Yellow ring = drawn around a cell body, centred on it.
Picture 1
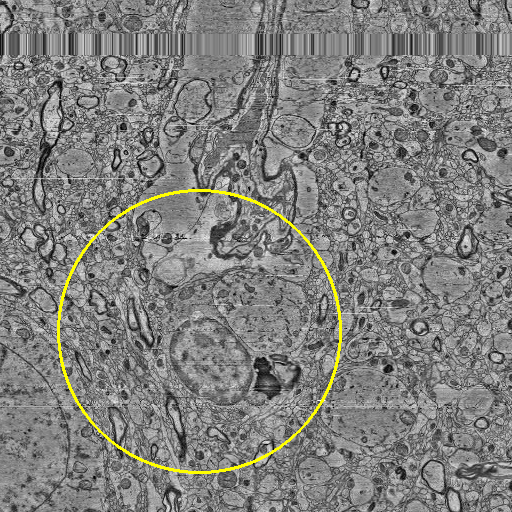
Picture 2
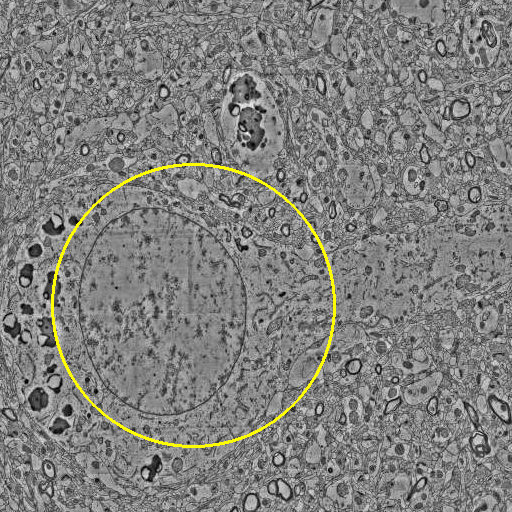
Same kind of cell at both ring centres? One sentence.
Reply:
No, they are two kinds of cell.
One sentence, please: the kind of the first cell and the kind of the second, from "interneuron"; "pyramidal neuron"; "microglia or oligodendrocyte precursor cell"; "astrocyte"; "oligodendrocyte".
The ring in the first picture surrounds an oligodendrocyte, and the ring in the second surrounds a pyramidal neuron.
